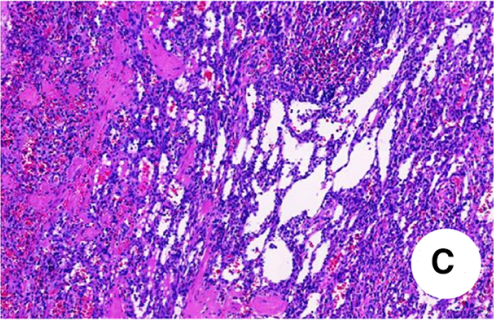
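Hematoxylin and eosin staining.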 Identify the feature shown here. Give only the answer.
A: Interlacing vascular network.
